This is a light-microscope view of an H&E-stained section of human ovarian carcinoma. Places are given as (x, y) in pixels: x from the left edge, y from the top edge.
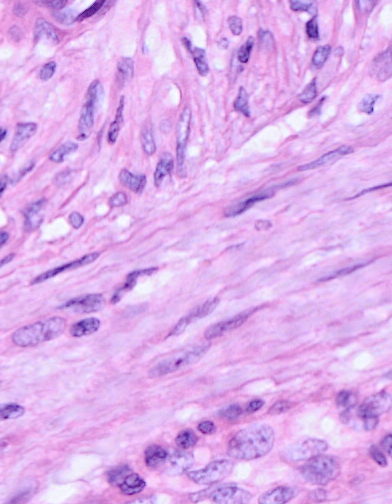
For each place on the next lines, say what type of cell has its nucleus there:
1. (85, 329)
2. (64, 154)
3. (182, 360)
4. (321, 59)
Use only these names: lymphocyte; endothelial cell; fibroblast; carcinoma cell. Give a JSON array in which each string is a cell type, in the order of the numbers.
["lymphocyte", "fibroblast", "fibroblast", "fibroblast"]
